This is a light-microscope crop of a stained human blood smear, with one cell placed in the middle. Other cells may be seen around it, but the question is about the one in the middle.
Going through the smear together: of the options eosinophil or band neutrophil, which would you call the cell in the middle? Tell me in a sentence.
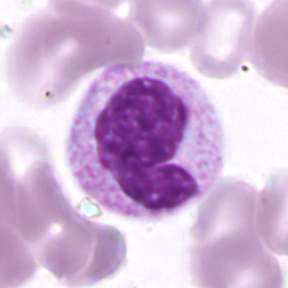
On this slide crop, the central cell is a band neutrophil.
